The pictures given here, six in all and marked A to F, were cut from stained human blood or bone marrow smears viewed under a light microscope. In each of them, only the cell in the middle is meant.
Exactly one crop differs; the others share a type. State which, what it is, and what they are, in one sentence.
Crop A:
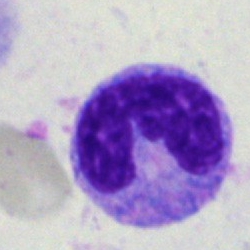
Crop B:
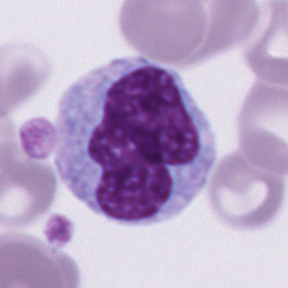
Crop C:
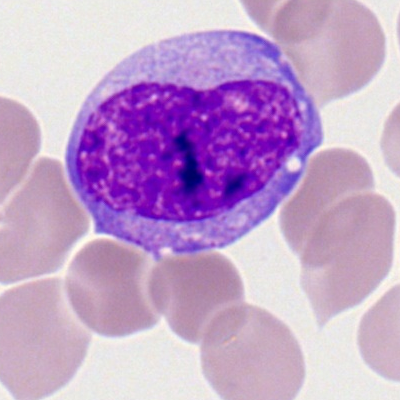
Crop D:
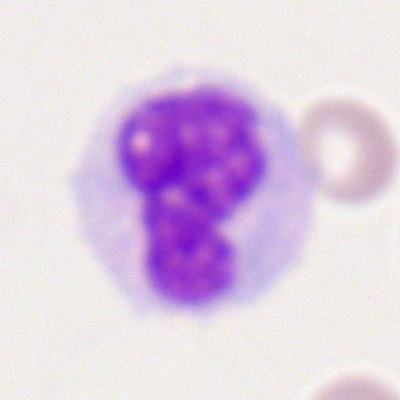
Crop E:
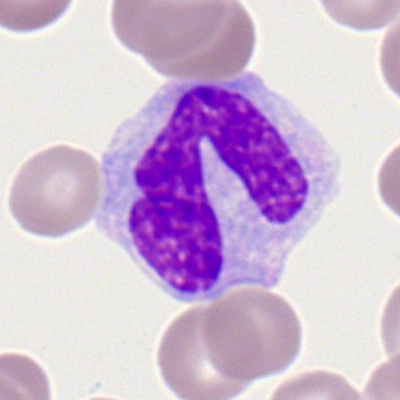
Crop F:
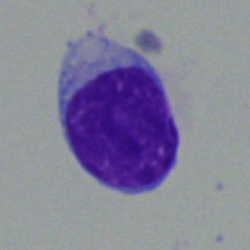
Found in all crops but one are monocytes; the exception, crop F, contains a lymphocyte.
